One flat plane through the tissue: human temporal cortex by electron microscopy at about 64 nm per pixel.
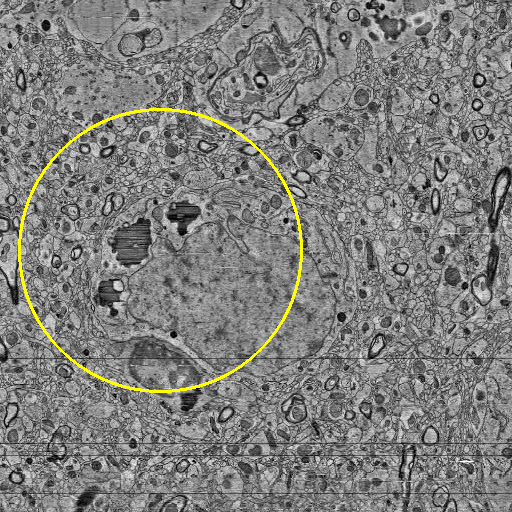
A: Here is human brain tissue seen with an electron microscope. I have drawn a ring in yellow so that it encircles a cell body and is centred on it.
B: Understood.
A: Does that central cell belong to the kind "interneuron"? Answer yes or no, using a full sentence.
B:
Yes, the central cell inside your yellow ring belongs to that kind.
